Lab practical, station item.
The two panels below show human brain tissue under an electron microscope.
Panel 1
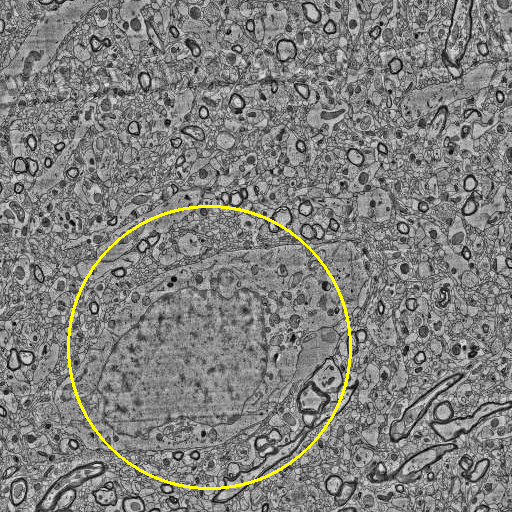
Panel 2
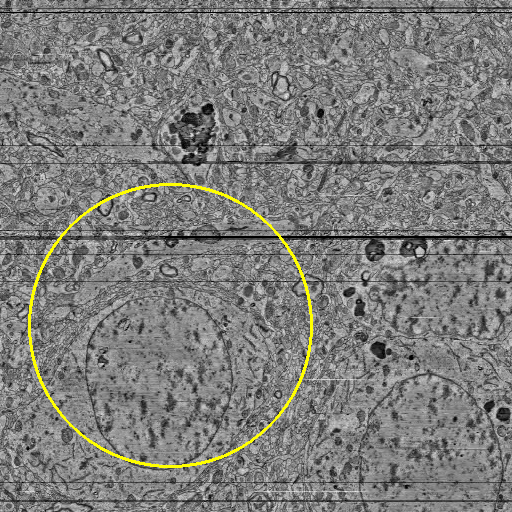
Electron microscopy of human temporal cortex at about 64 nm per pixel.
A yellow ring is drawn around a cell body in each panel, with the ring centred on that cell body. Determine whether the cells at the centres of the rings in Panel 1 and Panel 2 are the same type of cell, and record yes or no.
no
